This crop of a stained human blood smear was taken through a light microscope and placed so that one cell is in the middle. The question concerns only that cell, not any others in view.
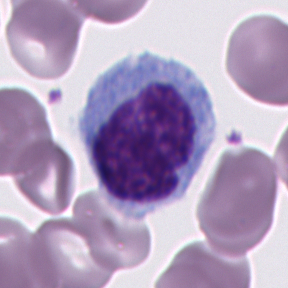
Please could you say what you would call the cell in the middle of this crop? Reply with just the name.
monocyte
